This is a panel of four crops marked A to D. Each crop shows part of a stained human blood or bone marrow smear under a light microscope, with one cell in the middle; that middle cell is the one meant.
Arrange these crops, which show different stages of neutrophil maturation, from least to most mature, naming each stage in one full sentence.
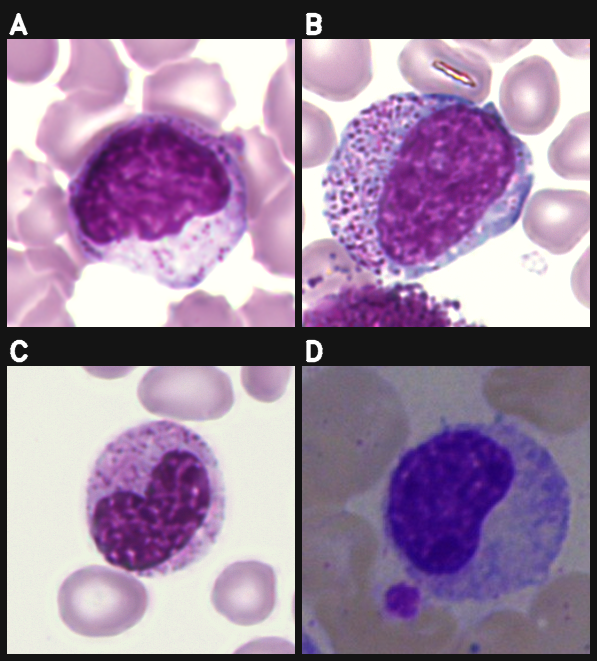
The stages, ordered from least to most mature, are crop B (a promyelocyte), crop A (a myelocyte), crop D (a metamyelocyte) and crop C (a band neutrophil).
